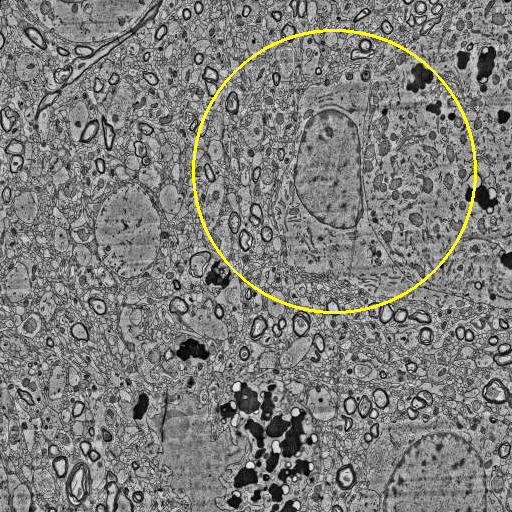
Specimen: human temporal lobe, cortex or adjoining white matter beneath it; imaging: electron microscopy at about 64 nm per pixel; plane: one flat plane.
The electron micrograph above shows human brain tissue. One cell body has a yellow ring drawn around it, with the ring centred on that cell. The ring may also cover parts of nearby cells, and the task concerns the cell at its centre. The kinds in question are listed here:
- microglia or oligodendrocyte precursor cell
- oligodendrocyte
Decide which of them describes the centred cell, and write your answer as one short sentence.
The centred cell is a microglial cell or oligodendrocyte precursor cell.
